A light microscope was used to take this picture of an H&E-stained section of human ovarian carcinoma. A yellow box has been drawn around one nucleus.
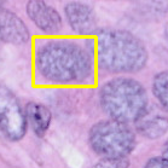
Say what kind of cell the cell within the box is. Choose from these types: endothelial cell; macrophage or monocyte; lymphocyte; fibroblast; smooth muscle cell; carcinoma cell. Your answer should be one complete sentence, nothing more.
Cell type answer for this item: the cell within the box is a carcinoma cell.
